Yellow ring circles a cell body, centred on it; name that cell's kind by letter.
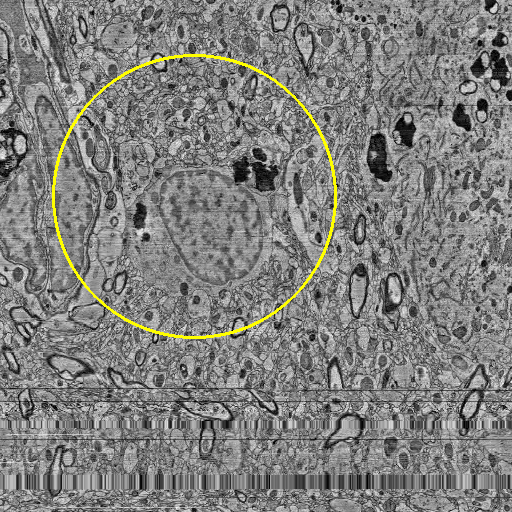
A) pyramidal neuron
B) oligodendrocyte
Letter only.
B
